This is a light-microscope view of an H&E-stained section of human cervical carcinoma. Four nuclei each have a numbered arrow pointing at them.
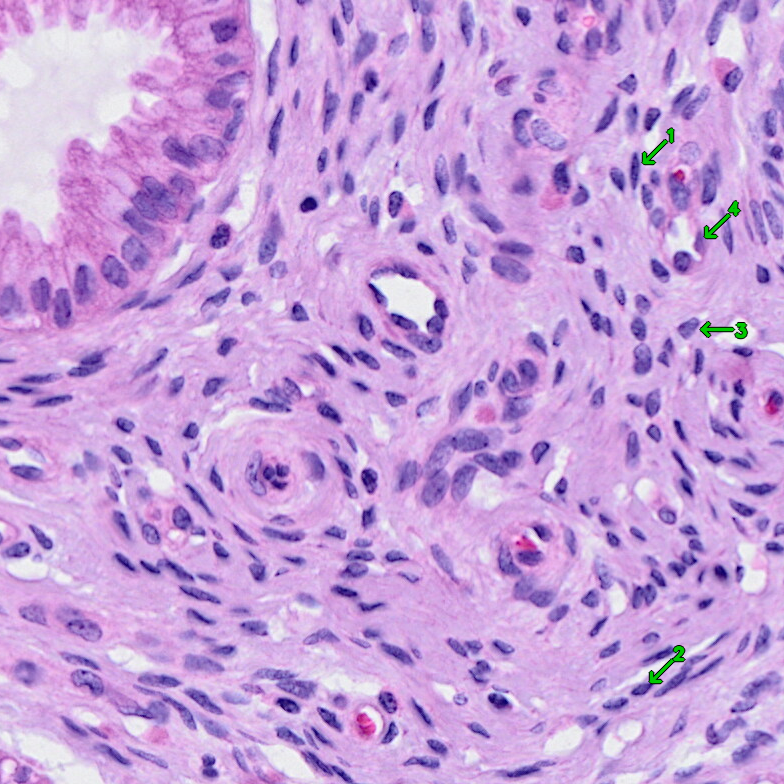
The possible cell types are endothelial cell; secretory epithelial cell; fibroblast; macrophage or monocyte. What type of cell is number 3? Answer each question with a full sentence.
As for number 3, that cell is a fibroblast.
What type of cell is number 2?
The cell to which the number 2 is assigned is a fibroblast.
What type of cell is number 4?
Within this field of view, the cell labelled 4 is an endothelial cell.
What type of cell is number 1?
Among the marked nuclei, number 1 belongs to a fibroblast.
